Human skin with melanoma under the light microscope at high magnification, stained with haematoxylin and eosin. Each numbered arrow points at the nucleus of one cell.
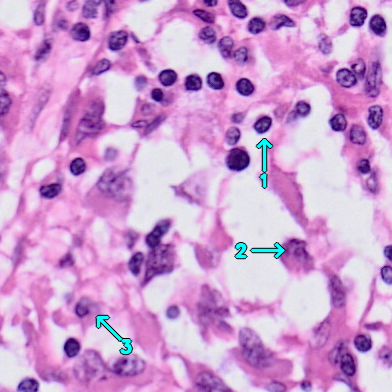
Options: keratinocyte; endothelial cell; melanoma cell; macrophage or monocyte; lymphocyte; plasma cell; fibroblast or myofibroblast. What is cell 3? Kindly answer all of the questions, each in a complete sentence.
The nucleus labelled 3 belongs to a macrophage or monocyte.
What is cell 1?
Regarding cell 1, this one is a lymphocyte.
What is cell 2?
The expected answer is that cell 2 is a melanoma cell.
